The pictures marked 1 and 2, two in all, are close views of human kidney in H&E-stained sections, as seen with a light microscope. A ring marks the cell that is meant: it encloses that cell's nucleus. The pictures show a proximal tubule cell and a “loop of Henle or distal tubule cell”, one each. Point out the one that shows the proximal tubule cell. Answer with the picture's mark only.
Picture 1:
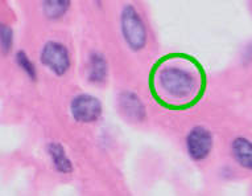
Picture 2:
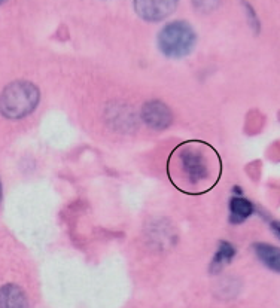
2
